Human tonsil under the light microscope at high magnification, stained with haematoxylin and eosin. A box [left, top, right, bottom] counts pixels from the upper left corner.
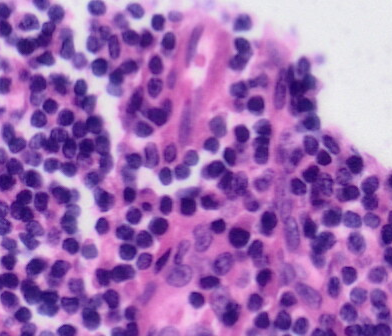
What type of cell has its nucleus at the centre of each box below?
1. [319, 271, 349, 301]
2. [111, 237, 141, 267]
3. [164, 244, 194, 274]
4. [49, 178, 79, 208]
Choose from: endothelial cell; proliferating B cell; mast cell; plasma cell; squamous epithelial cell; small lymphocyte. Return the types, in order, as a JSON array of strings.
["endothelial cell", "small lymphocyte", "endothelial cell", "small lymphocyte"]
